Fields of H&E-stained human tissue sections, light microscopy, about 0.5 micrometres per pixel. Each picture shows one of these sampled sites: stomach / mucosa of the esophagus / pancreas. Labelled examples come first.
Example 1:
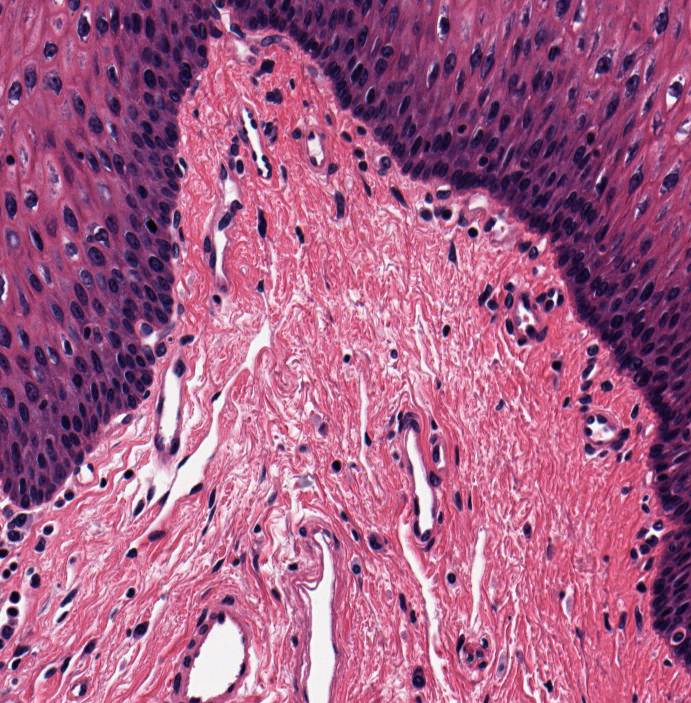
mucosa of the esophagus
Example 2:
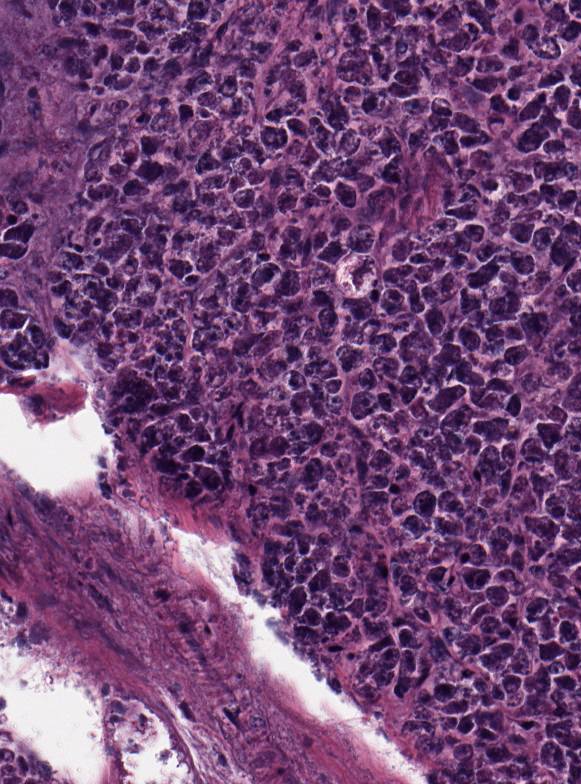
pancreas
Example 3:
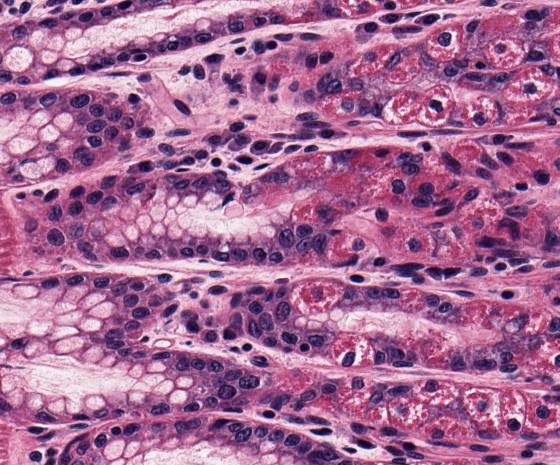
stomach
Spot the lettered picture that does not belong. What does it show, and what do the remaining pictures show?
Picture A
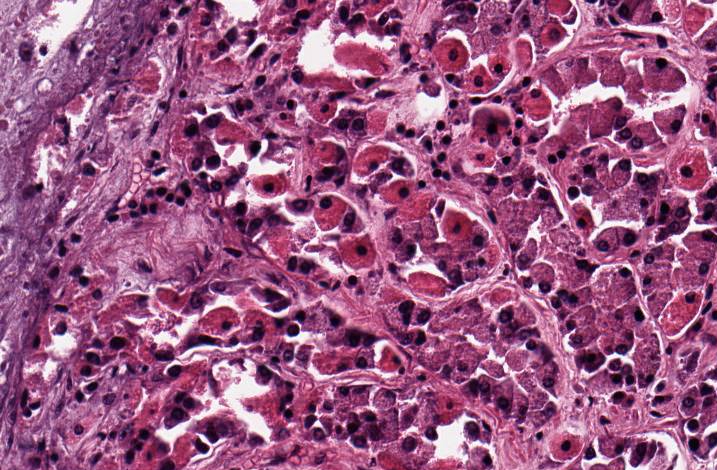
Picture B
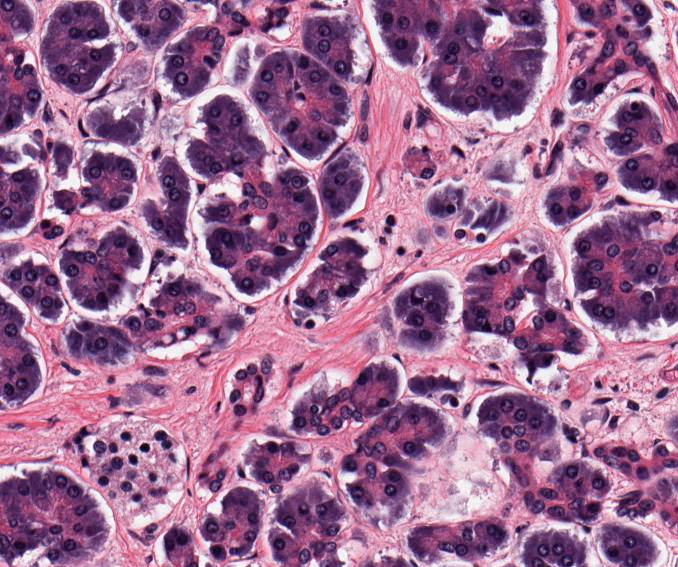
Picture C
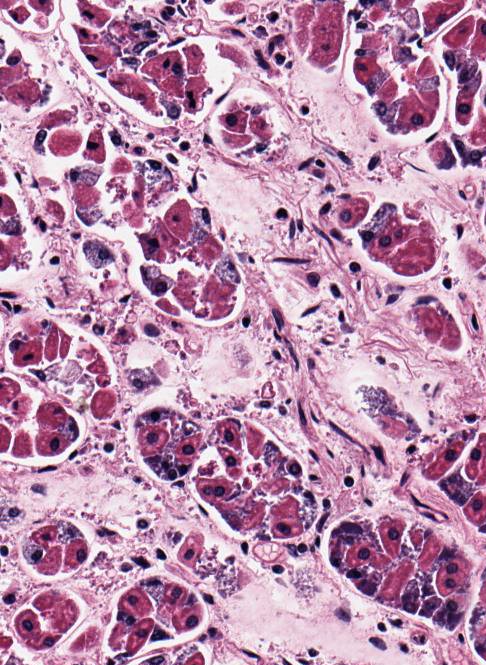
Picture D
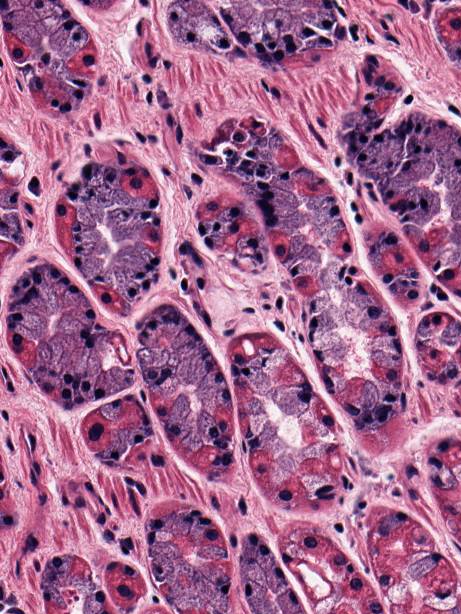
Picture B: pancreas. All others: stomach.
